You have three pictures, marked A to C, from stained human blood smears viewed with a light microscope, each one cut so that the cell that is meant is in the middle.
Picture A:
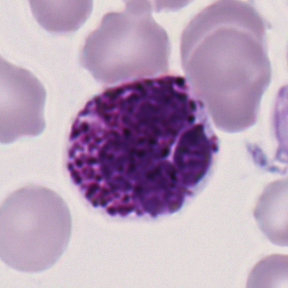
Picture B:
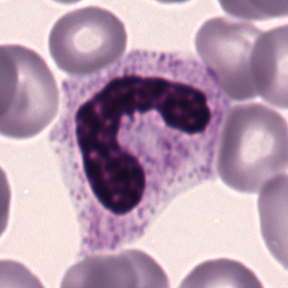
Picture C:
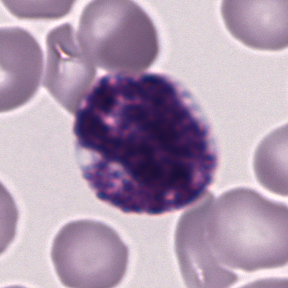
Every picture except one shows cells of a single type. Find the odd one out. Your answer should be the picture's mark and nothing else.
B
